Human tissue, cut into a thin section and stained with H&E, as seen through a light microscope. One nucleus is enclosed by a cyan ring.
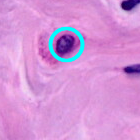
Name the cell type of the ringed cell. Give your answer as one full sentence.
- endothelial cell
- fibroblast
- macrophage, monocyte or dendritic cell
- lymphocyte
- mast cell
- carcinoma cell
The ringed cell appears to be a mast cell.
